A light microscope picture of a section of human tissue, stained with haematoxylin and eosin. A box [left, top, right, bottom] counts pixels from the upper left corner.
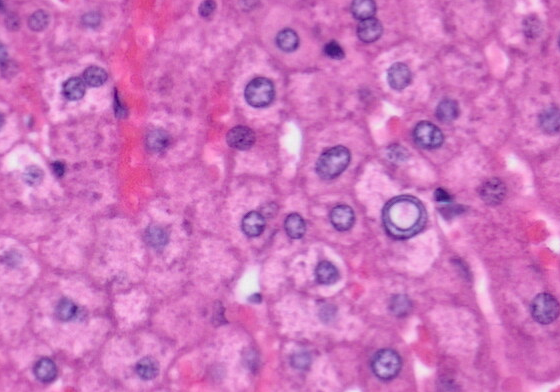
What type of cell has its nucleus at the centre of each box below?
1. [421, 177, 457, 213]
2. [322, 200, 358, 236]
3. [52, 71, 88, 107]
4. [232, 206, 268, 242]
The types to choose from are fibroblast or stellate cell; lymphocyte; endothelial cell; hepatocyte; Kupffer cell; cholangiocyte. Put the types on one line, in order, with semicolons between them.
fibroblast or stellate cell; hepatocyte; hepatocyte; hepatocyte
